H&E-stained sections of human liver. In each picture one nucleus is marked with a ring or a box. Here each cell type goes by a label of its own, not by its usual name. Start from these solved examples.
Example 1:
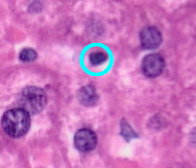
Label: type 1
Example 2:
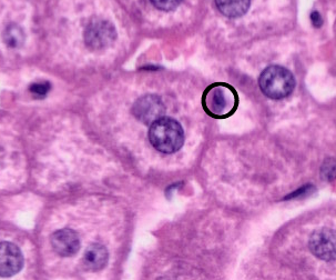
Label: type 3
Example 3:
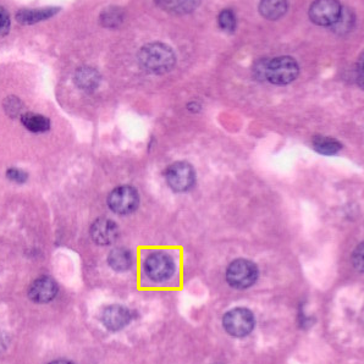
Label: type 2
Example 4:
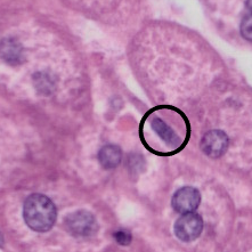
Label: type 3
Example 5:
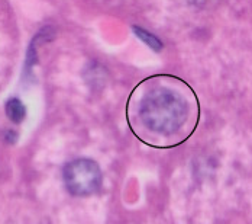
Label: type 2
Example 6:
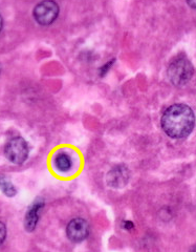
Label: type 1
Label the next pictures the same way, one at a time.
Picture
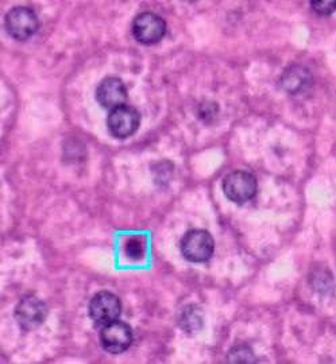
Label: type 1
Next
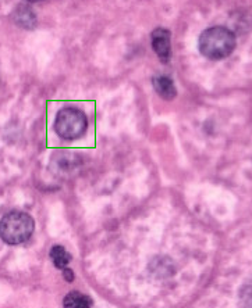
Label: type 2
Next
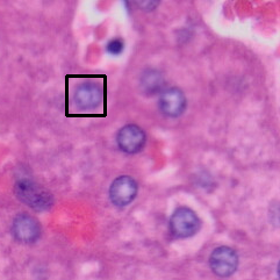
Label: type 2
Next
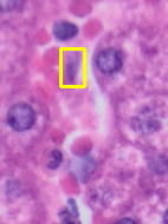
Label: type 3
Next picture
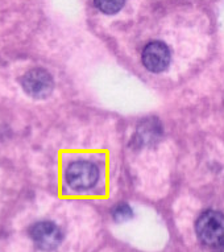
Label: type 2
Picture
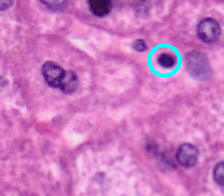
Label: type 1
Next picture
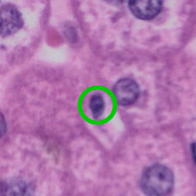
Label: type 1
